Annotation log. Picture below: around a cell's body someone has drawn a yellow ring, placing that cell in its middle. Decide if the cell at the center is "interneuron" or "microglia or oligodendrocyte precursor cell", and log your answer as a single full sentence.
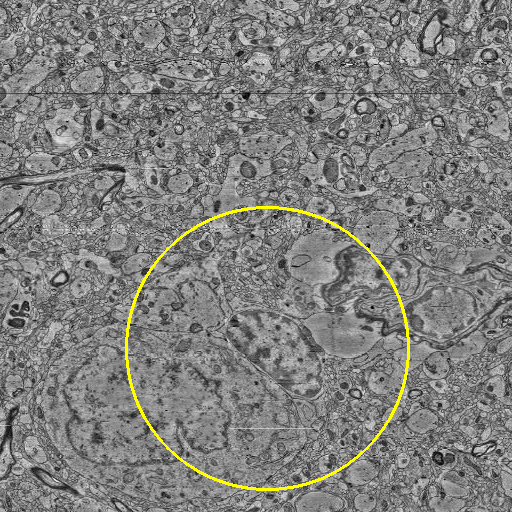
My entry records a microglial cell or oligodendrocyte precursor cell as the cell sitting at the center of the yellow ring.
